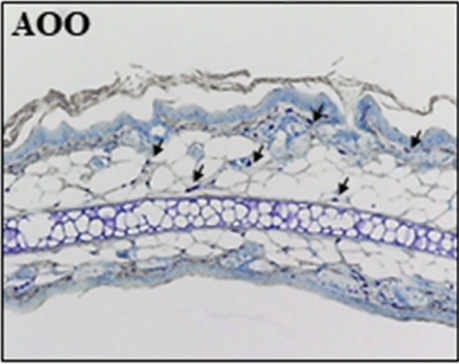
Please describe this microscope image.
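This cross-section of ear tissue shows a few small, dark purple mast cells lying in the dermis. A thin blue surface epithelium runs along the top. Beneath it is loose connective tissue with many large, clear, rounded spaces. The dark cells are scattered sparsely through this loose tissue. Across the middle runs a band of deep violet tissue made of rows of rounded pale spaces, with a thin layer of skin again below it.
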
